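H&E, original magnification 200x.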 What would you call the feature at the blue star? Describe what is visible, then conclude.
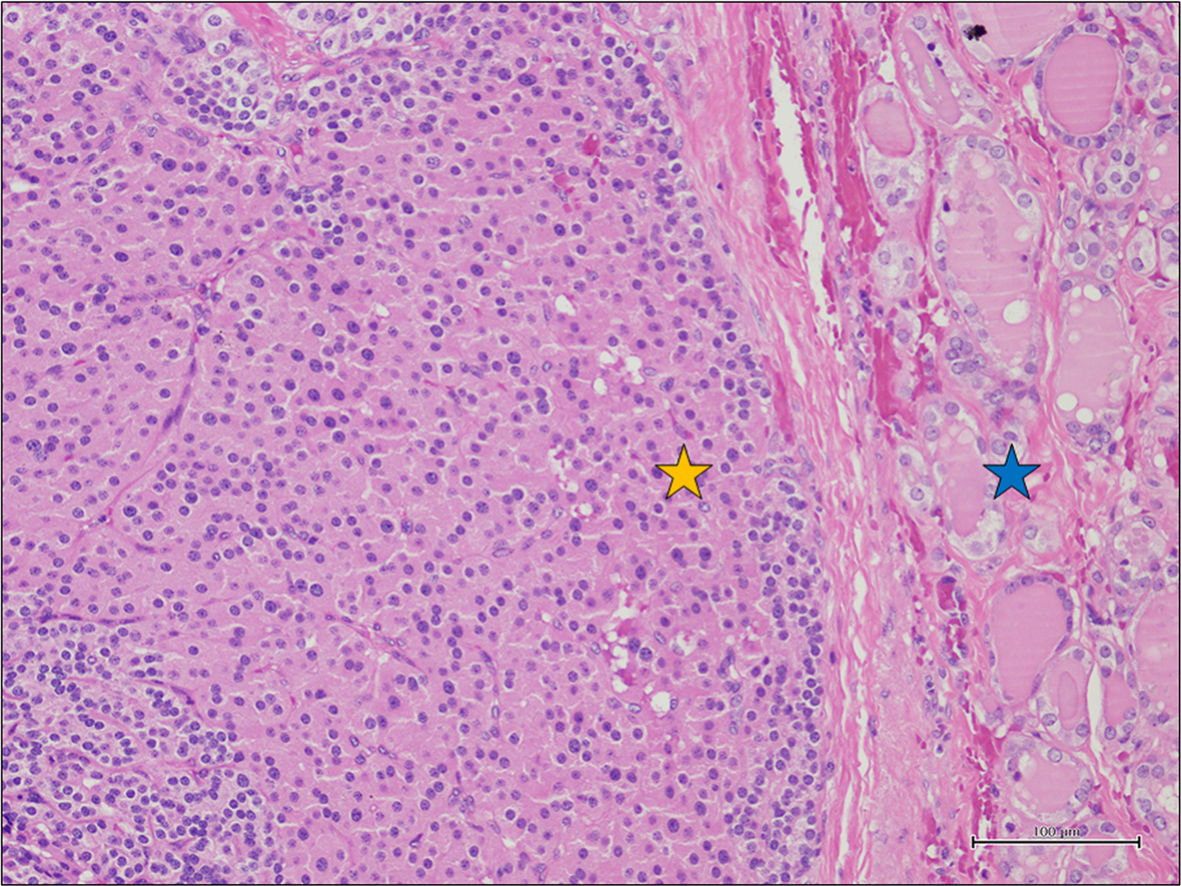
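Thyroid follicles. Round to oval spaces filled with homogeneous pink material. Each space is lined by a single layer of cuboidal epithelial cells. The spaces lie on the right, beyond a band of fibrous tissue.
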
